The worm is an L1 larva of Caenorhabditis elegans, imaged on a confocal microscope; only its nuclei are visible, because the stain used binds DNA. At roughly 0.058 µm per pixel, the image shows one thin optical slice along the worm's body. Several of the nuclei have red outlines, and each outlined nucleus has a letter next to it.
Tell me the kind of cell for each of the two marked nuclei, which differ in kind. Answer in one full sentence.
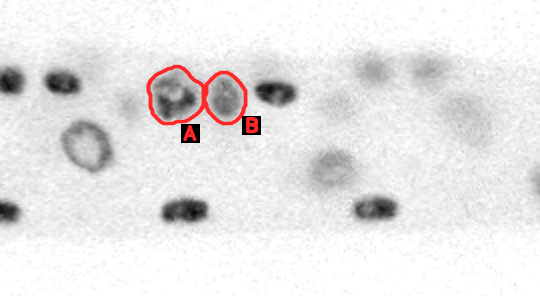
A is in a germ line precursor and B is in a somatic gonad precursor.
